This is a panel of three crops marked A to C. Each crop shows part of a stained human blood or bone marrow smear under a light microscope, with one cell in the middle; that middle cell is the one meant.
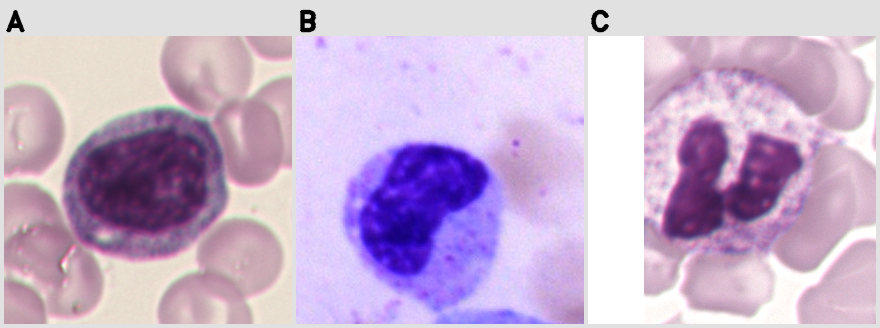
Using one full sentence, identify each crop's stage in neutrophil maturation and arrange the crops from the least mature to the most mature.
In order from least mature to most mature, the crops stand crop A (a myelocyte), crop B (a metamyelocyte) and crop C (a segmented neutrophil).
